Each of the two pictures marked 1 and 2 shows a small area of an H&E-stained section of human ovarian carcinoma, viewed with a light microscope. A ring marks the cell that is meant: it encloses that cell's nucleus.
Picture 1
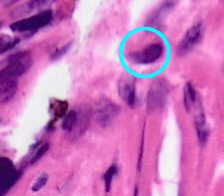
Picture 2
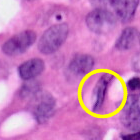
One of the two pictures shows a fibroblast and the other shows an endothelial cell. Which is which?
1: fibroblast
2: endothelial cell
